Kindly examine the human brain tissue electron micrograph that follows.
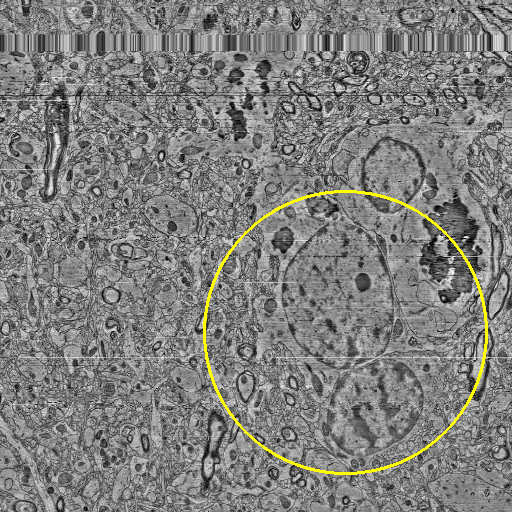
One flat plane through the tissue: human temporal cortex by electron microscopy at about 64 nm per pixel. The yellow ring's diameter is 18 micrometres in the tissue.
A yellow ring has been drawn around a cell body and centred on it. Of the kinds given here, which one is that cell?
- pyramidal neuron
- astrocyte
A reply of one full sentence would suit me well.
The micrograph's ringed cell, the one at the ring's centre, is an astrocyte.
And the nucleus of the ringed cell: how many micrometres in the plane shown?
Approximately 9 by 7 micrometers in this plane.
